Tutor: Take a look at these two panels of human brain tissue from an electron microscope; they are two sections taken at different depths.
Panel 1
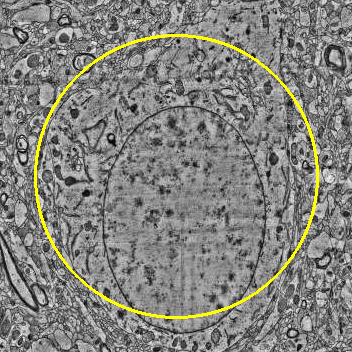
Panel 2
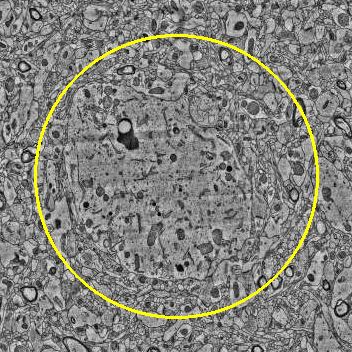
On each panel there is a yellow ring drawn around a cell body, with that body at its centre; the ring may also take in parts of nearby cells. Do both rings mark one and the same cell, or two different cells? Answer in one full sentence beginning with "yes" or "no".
No, the two rings were placed on two different cells.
